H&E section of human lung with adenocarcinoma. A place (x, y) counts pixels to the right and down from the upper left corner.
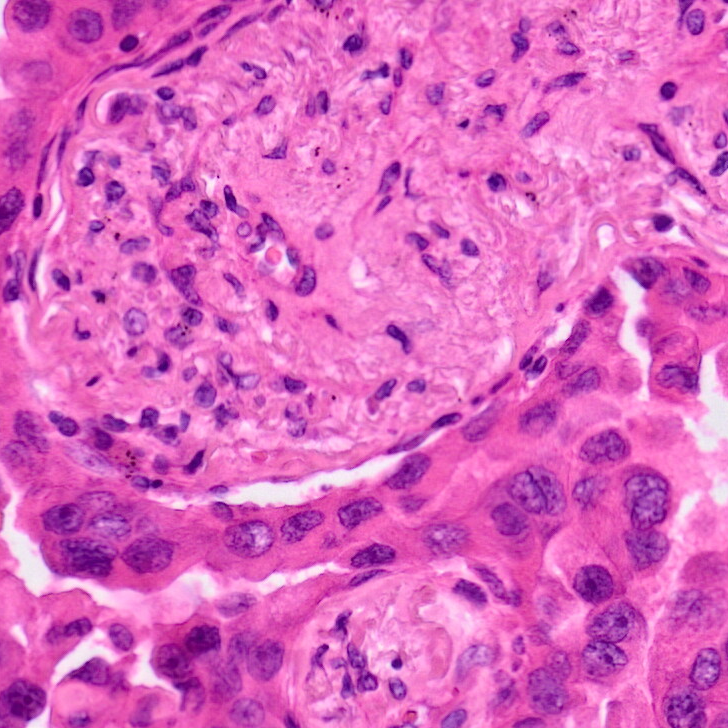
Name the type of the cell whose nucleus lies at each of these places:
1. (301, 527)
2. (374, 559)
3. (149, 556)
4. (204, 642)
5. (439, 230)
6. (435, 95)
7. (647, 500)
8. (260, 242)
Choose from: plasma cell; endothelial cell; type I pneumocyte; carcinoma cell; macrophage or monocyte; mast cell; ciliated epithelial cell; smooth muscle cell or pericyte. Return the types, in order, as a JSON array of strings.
["carcinoma cell", "carcinoma cell", "carcinoma cell", "carcinoma cell", "smooth muscle cell or pericyte", "smooth muscle cell or pericyte", "carcinoma cell", "endothelial cell"]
